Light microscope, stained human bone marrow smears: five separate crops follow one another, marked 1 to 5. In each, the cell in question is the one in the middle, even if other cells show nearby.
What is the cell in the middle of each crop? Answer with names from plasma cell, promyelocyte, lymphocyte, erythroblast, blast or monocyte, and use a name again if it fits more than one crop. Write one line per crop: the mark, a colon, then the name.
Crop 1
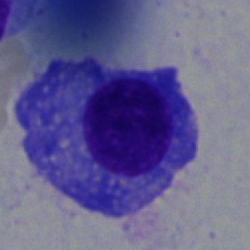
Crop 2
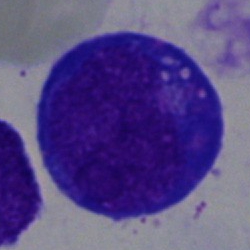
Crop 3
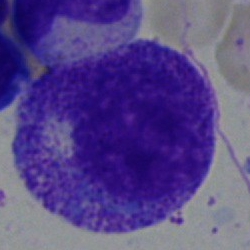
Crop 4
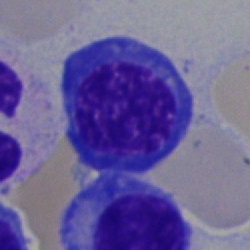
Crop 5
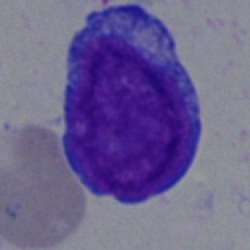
1: plasma cell
2: promyelocyte
3: promyelocyte
4: plasma cell
5: blast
